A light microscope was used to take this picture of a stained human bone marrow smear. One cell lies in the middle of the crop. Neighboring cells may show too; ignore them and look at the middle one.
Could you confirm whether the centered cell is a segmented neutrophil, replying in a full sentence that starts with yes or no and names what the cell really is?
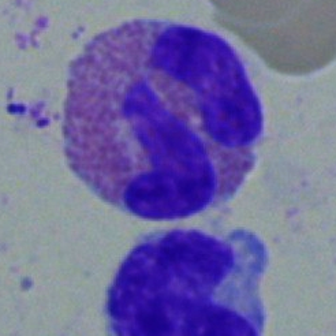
No, the cell placed at the center is an eosinophil rather than a segmented neutrophil.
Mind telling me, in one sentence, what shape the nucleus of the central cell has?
Nuclear material here is separated into two or more segments.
